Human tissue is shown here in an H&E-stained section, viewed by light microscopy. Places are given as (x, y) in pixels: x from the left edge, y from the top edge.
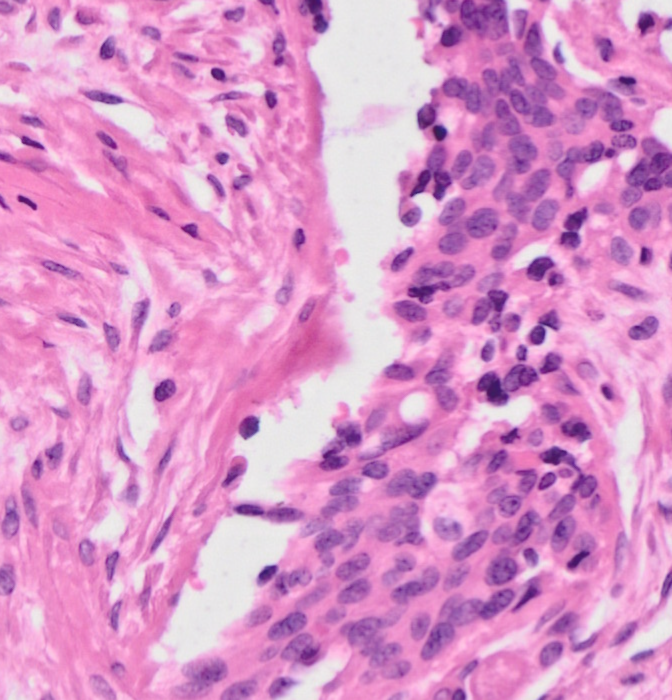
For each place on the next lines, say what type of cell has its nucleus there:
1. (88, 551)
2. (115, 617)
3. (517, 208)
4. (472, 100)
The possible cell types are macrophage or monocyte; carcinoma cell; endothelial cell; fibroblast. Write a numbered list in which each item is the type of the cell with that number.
1. fibroblast
2. fibroblast
3. carcinoma cell
4. carcinoma cell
